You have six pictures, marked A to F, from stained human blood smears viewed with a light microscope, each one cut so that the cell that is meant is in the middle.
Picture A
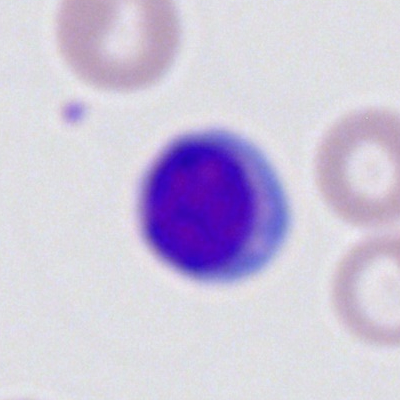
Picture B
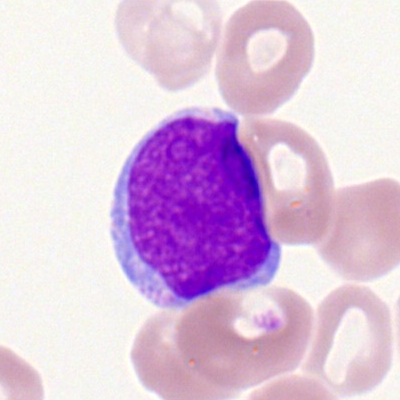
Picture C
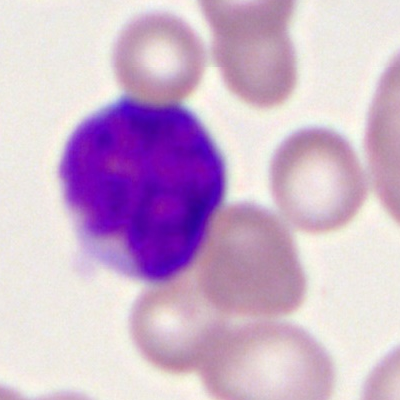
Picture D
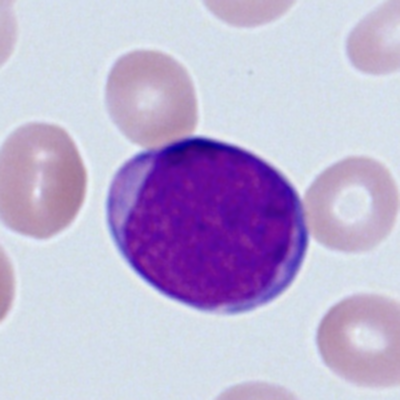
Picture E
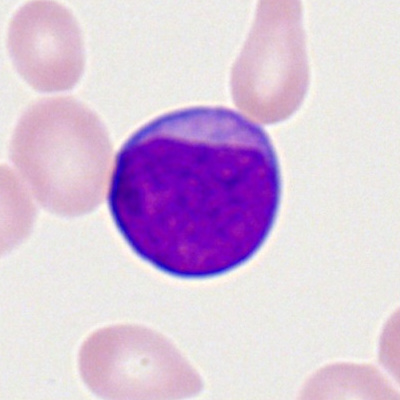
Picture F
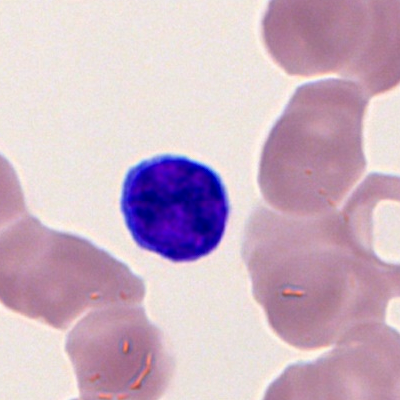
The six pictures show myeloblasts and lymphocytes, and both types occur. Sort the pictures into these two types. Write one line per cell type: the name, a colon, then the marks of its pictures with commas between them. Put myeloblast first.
myeloblast: B, C, D, E
lymphocyte: A, F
